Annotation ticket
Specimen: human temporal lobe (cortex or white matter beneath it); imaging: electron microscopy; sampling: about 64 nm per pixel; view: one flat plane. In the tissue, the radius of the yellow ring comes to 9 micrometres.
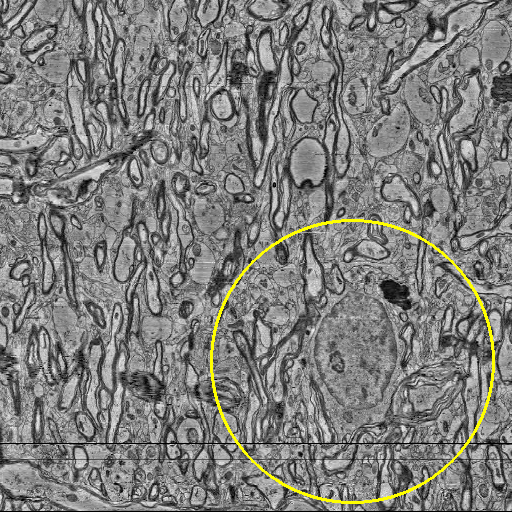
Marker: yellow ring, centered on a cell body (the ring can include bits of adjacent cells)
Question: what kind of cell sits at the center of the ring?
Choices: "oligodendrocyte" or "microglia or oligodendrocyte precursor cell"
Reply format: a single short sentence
The ring is centered on an oligodendrocyte.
